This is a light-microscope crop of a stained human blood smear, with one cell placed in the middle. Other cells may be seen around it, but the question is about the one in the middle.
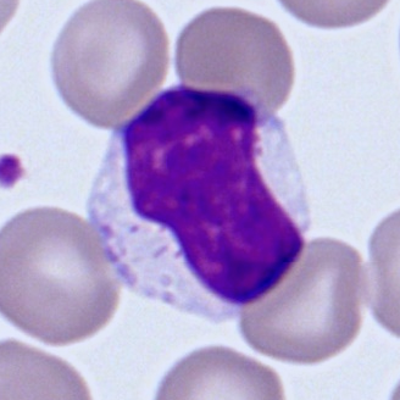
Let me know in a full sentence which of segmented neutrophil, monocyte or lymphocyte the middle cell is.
The cell at the middle of the crop is recognized as a lymphocyte.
